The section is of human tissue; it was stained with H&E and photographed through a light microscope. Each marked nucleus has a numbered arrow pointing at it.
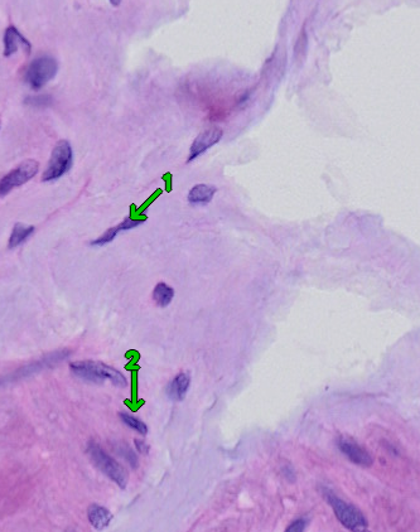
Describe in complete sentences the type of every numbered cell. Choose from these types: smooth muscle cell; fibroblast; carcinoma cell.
Cell 1 is a fibroblast and cell 2 is a smooth muscle cell.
